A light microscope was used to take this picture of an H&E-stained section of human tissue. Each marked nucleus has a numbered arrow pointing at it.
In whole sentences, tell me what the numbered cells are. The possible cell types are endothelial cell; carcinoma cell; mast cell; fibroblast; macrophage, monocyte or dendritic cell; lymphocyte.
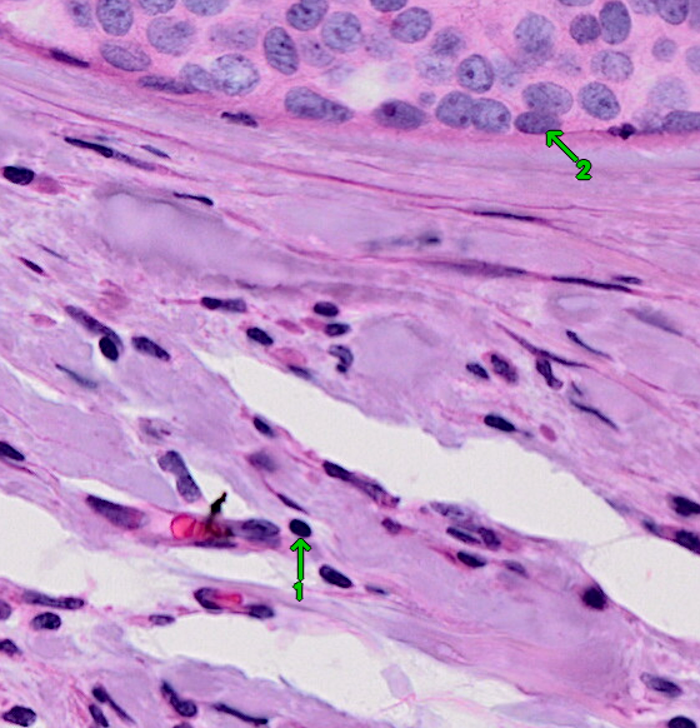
Cell 1 is a lymphocyte. Cell 2 is a carcinoma cell.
